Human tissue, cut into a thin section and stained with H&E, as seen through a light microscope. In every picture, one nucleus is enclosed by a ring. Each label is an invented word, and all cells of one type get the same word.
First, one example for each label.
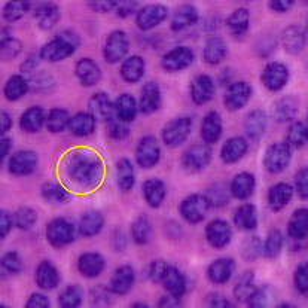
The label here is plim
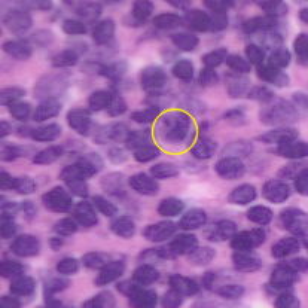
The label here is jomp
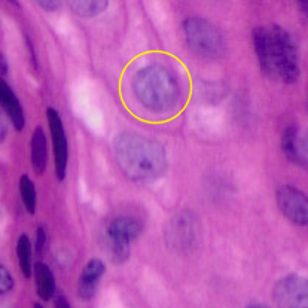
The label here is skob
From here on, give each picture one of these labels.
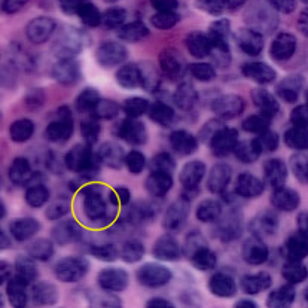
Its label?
jomp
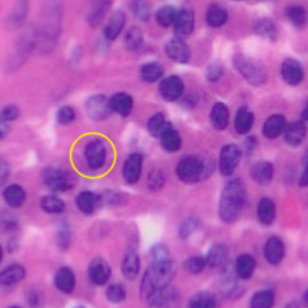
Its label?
plim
